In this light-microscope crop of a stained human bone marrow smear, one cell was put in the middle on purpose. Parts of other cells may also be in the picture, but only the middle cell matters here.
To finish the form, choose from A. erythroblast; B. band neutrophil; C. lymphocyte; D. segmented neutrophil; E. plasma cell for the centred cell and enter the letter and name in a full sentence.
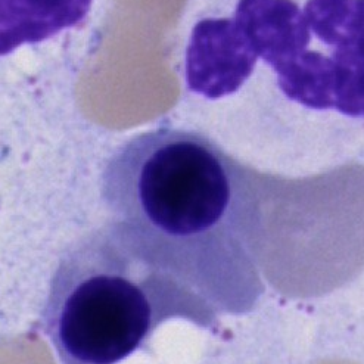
The cell shown centrally is an erythroblast; option A is the correct option.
